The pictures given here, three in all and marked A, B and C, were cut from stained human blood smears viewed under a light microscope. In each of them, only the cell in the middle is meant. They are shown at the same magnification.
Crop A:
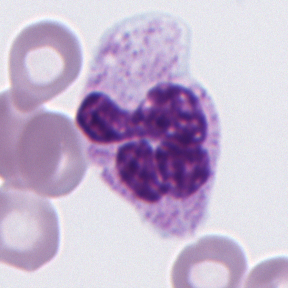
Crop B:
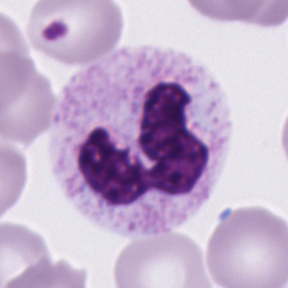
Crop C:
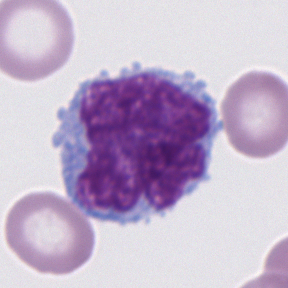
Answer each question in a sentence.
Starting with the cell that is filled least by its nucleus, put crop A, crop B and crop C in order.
From the least filled to the most, the order is B, A, C.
